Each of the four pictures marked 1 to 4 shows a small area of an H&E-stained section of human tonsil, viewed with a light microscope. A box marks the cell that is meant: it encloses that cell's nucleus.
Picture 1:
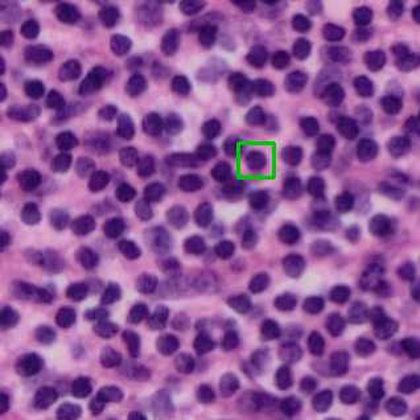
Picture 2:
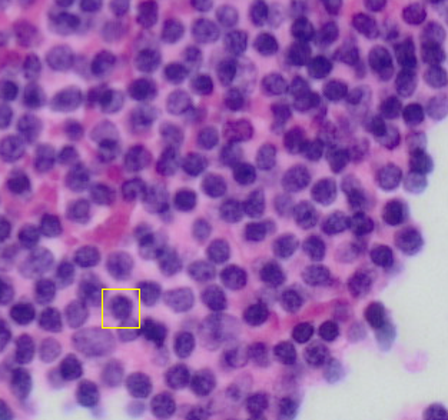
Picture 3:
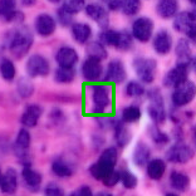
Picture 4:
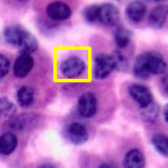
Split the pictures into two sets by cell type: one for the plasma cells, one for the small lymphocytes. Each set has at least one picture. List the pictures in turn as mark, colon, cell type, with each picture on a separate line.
1: small lymphocyte
2: small lymphocyte
3: small lymphocyte
4: plasma cell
